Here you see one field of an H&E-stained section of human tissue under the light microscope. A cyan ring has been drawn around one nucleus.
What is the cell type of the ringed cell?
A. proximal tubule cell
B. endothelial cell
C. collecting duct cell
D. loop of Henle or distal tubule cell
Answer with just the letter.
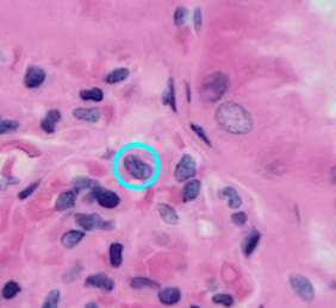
B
